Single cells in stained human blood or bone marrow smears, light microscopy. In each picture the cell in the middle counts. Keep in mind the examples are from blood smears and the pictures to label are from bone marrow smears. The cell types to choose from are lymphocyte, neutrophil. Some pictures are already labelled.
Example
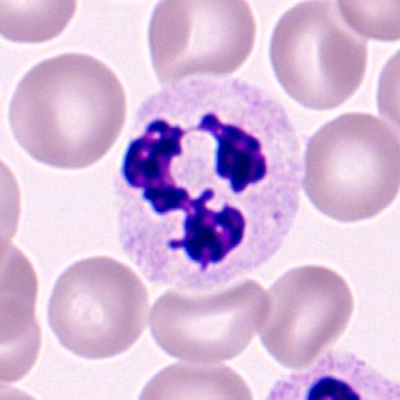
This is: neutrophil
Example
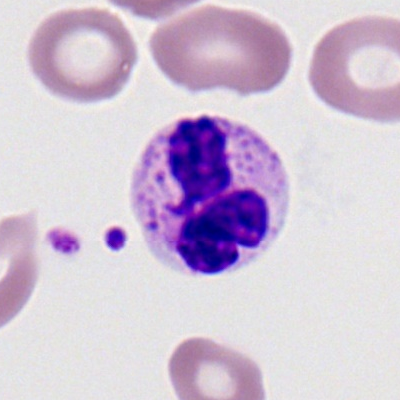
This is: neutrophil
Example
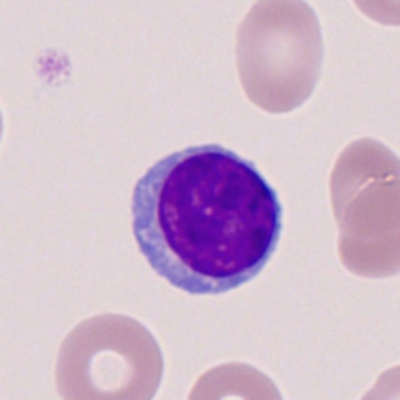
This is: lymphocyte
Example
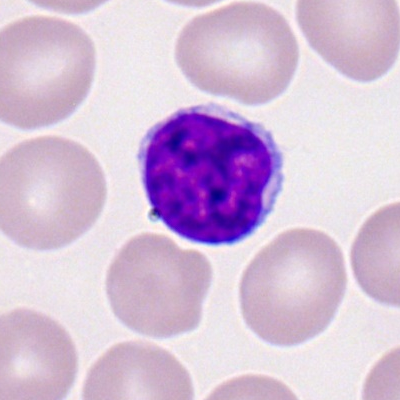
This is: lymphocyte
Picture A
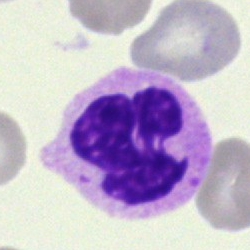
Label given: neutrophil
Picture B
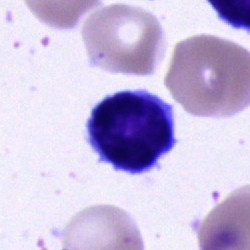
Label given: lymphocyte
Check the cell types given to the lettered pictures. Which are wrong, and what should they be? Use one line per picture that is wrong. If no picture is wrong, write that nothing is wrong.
All labels are correct.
